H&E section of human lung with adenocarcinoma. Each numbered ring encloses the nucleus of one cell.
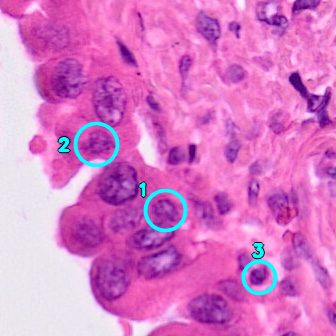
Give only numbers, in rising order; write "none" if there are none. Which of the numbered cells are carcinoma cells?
1, 2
